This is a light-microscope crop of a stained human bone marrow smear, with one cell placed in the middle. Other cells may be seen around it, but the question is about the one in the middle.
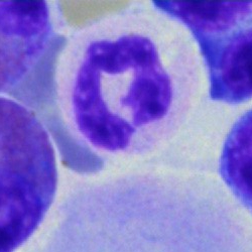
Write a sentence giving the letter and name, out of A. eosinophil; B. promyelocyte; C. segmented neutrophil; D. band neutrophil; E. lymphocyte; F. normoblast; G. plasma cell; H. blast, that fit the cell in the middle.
That middle cell is a segmented neutrophil, and option C is therefore correct.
